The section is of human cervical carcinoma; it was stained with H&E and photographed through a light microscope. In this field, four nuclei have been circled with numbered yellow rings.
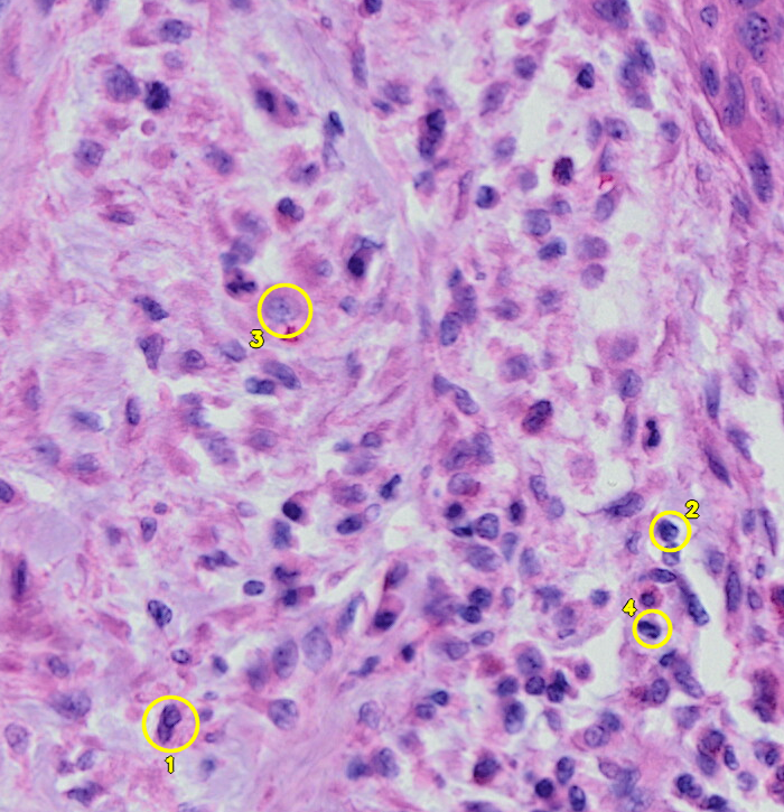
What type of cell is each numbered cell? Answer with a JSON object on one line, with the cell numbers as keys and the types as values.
{"1": "macrophage or monocyte", "2": "lymphocyte", "3": "endothelial cell", "4": "lymphocyte"}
